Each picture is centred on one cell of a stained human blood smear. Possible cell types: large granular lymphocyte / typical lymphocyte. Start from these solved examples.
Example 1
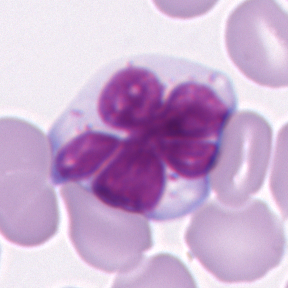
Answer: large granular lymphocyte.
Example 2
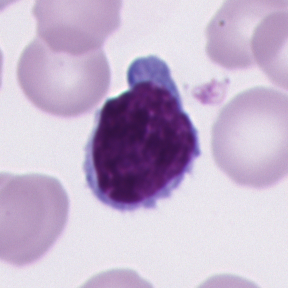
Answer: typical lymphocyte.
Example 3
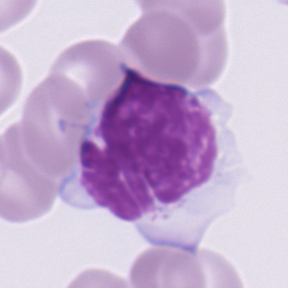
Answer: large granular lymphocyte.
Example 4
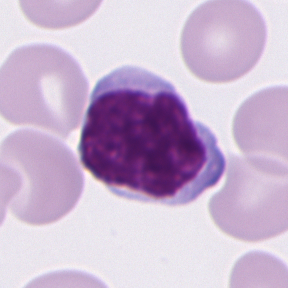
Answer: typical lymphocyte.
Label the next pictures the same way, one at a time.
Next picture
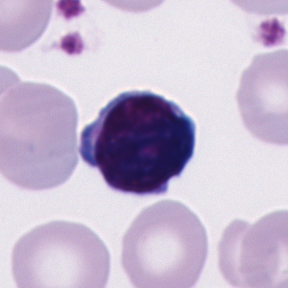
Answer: typical lymphocyte.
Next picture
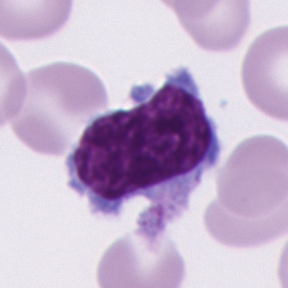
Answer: typical lymphocyte.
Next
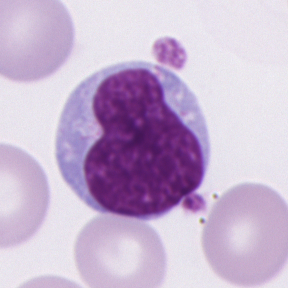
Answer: typical lymphocyte.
